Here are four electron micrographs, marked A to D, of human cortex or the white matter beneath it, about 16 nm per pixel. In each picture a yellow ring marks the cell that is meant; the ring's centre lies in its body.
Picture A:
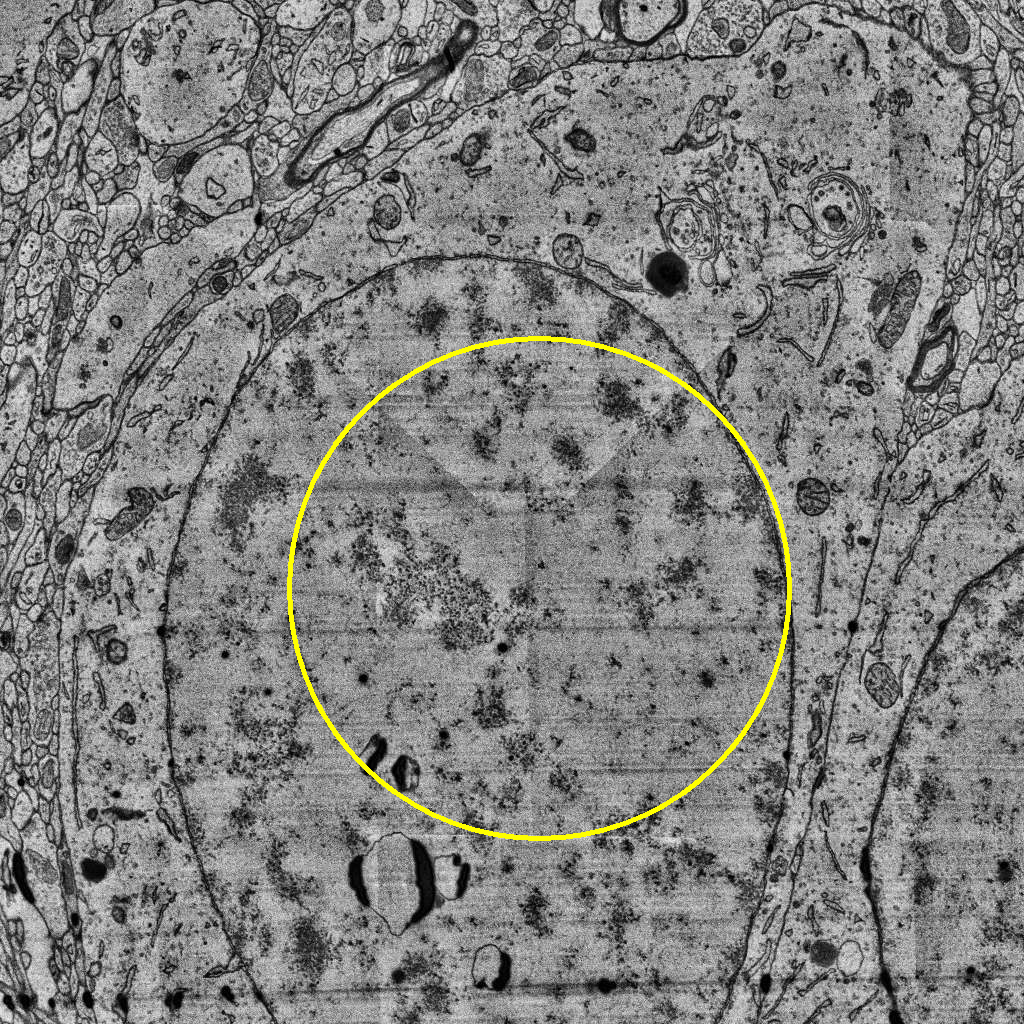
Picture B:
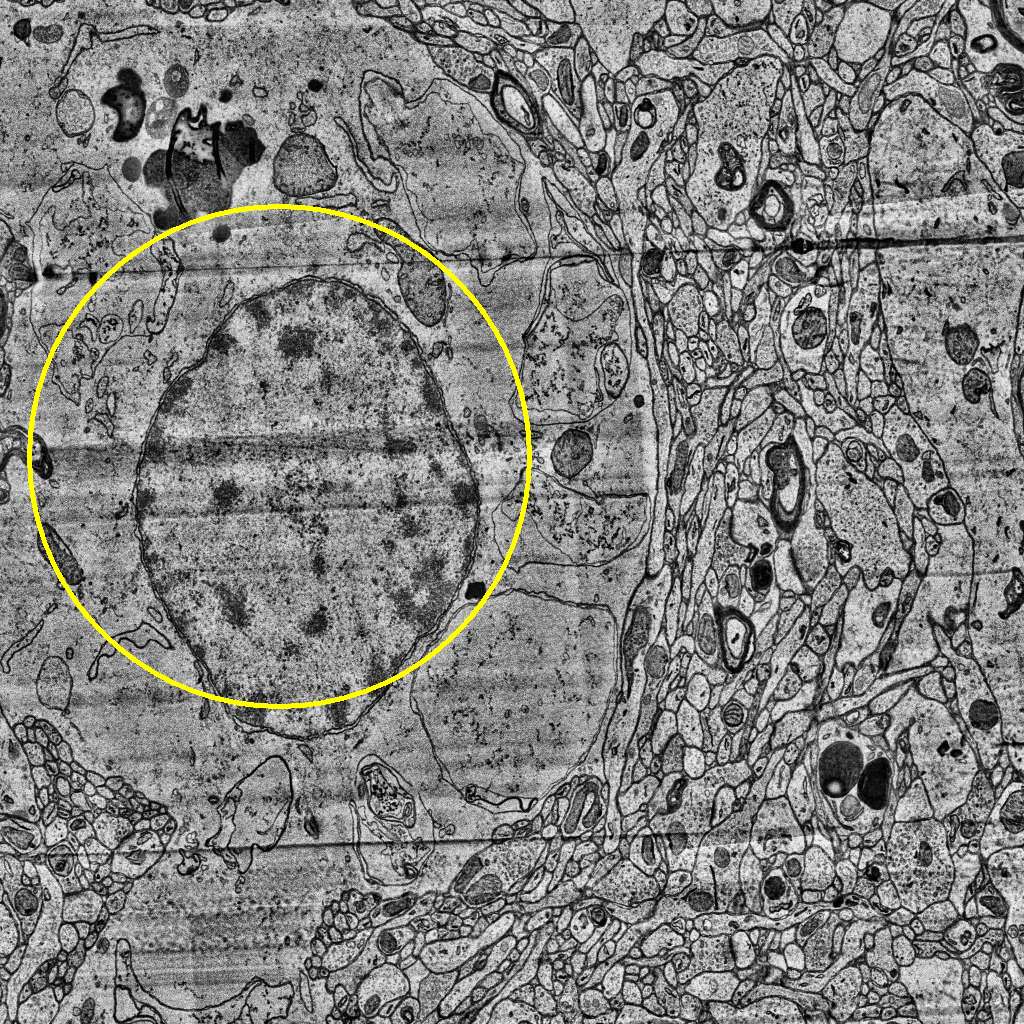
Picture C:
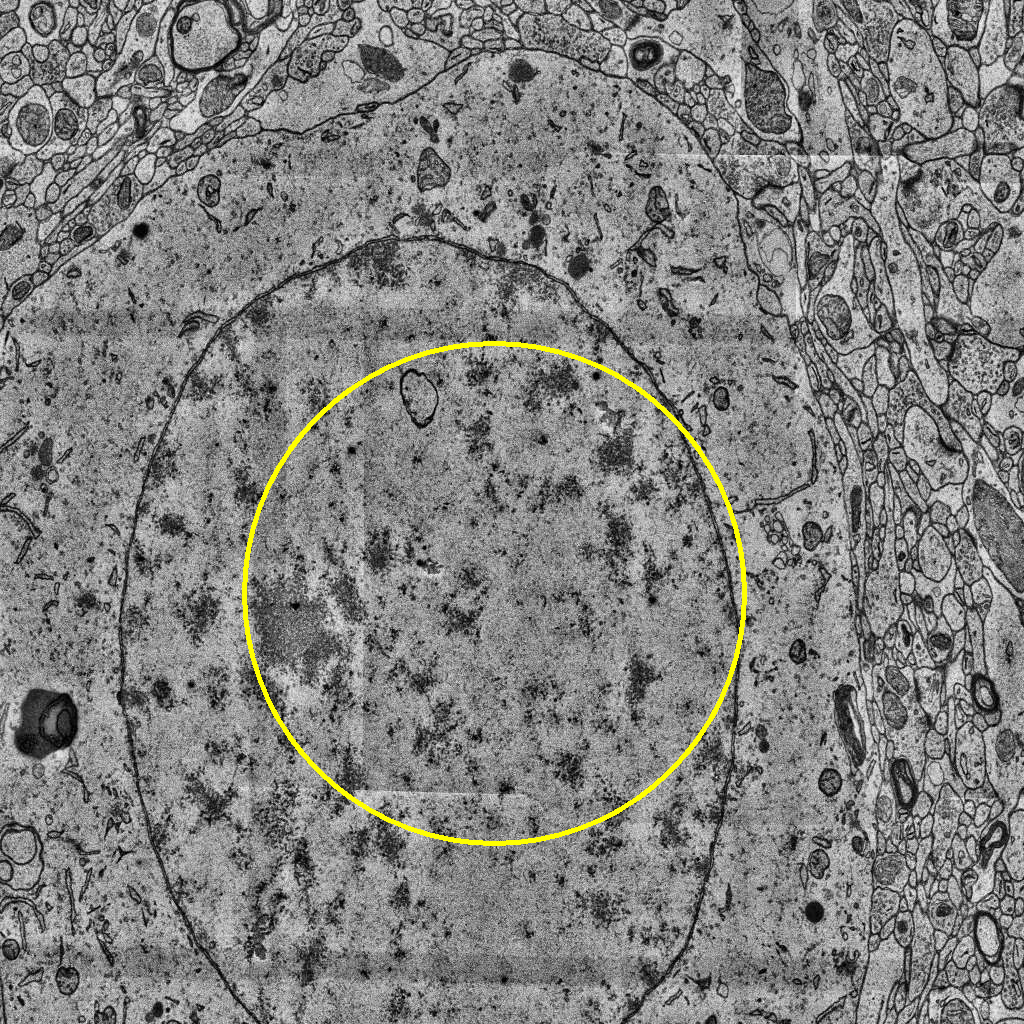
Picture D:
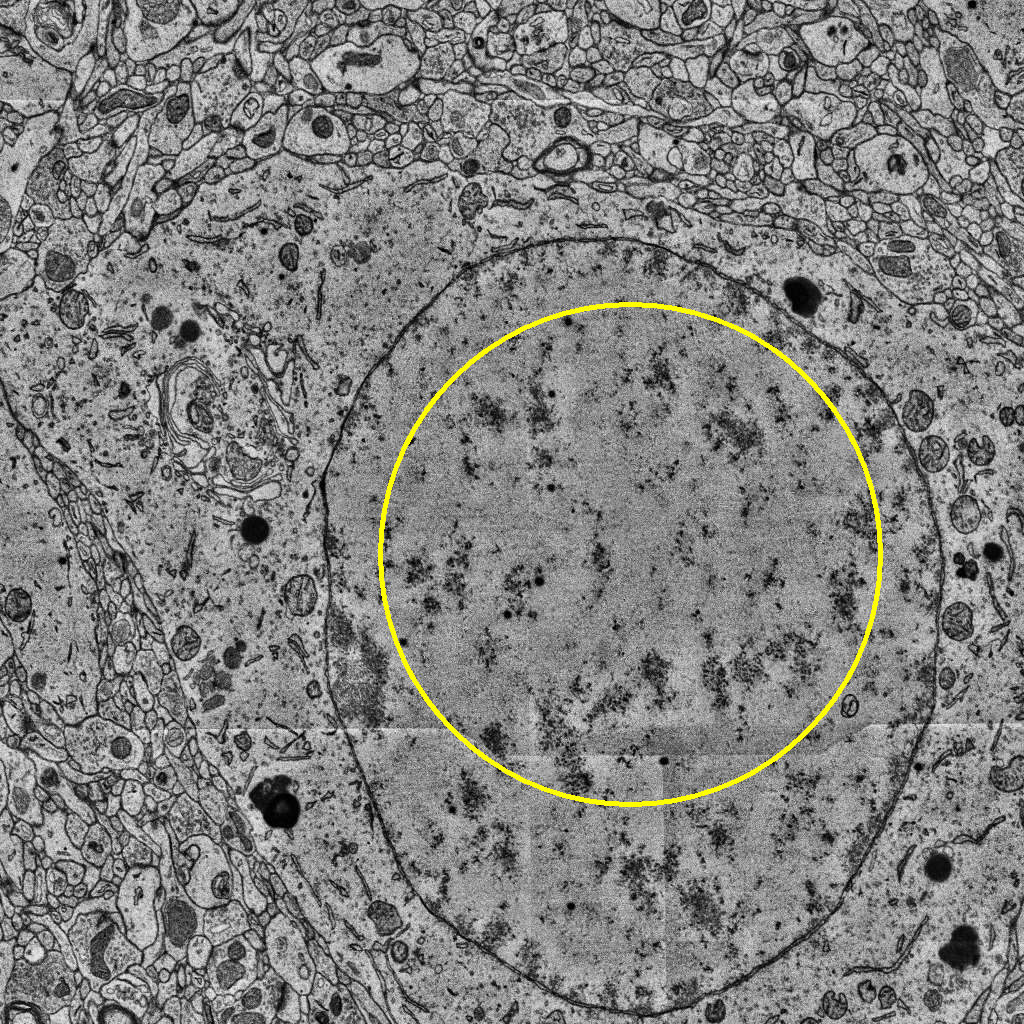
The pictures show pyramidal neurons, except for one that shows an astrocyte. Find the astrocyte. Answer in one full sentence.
It is picture B that shows the astrocyte.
